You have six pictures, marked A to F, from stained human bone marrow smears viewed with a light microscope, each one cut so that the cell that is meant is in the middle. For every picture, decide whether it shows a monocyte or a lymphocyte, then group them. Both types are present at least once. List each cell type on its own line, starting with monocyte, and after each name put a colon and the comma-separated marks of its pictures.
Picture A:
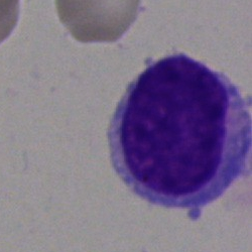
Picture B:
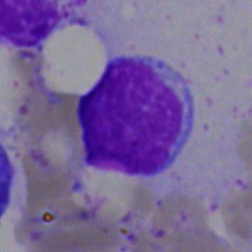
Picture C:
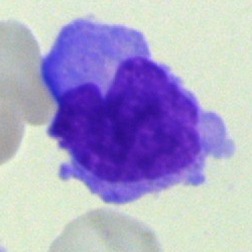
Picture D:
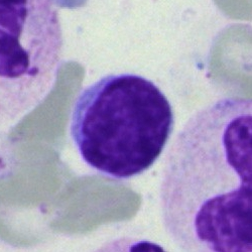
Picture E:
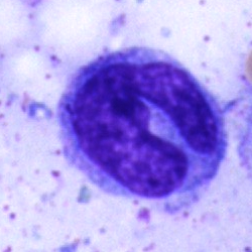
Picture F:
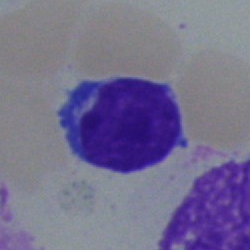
monocyte: C, E
lymphocyte: A, B, D, F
